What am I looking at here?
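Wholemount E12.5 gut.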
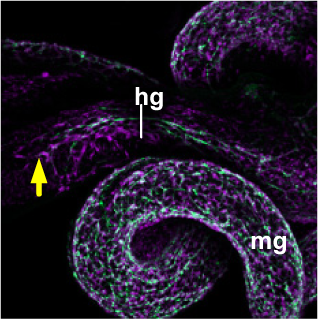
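In the hindgut segment above, the lattice is sparser, with longer parallel strands, and magenta cells thin out toward its left end. Elsewhere green and magenta largely overlap along the network, appearing whitish.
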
